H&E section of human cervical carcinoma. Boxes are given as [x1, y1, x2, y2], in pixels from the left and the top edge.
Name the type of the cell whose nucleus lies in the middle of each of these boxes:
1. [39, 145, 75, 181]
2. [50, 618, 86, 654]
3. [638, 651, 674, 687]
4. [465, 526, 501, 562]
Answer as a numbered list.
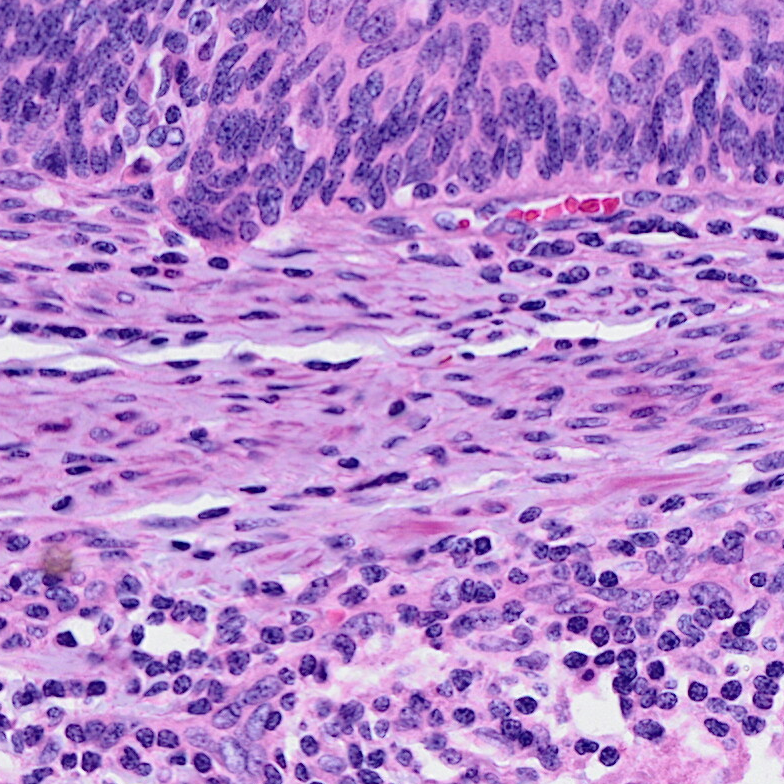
1. squamous carcinoma cell
2. lymphocyte
3. lymphocyte
4. lymphocyte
